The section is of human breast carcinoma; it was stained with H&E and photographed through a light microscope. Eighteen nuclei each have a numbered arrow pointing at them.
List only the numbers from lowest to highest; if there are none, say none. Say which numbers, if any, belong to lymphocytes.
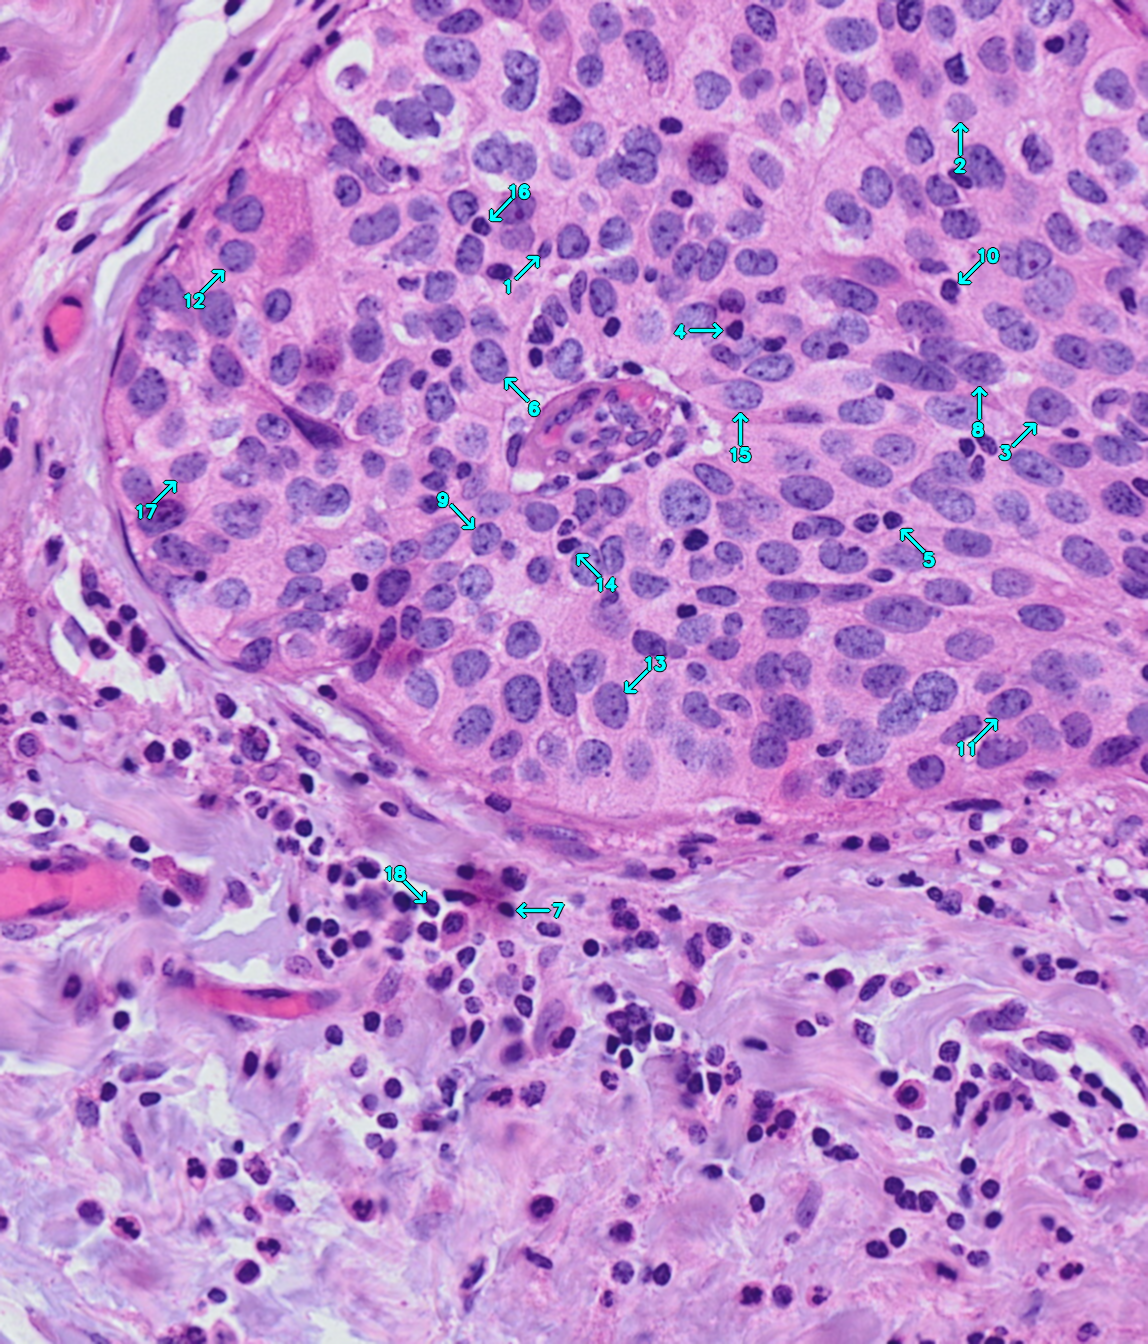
1, 4, 5, 7, 10, 14, 16, 18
